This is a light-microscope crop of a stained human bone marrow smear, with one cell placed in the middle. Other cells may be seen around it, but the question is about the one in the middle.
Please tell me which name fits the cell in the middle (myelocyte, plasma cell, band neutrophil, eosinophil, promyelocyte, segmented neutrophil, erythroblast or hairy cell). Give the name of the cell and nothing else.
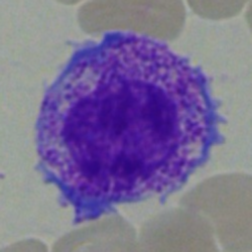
myelocyte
